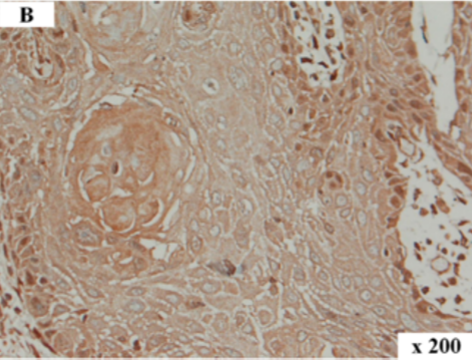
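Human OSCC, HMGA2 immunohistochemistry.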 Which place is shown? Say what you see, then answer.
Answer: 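The field is filled by a continuous sheet of tumour cells with little stroma. A concentric whorl of flattened cells lies within the sheet. That points to this answer: tumour centre.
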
